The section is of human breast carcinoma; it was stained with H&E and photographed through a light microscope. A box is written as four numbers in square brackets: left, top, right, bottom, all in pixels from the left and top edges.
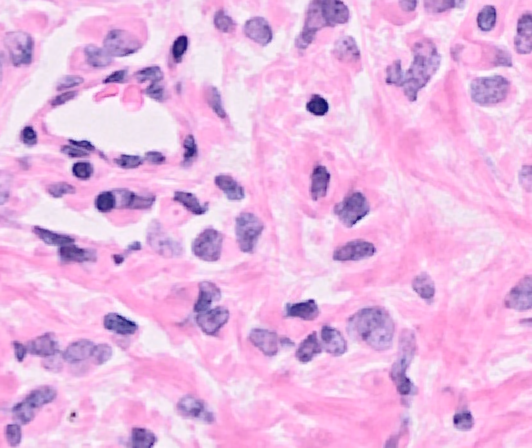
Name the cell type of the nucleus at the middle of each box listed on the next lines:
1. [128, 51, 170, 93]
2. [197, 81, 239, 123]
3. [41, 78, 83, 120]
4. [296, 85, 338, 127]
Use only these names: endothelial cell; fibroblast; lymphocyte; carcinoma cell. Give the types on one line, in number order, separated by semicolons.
endothelial cell; fibroblast; endothelial cell; lymphocyte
